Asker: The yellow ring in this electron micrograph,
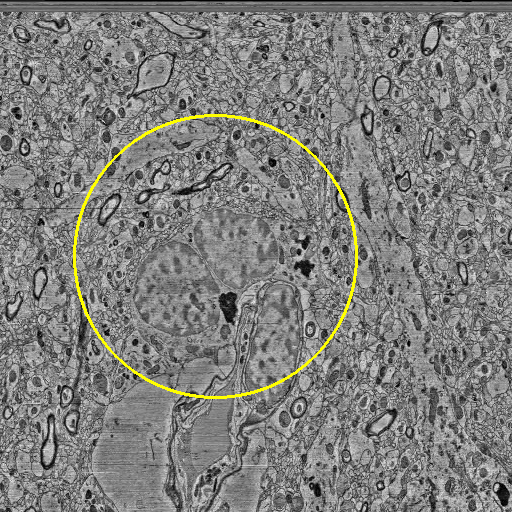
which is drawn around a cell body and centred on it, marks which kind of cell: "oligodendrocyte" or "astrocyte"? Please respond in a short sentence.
The marked cell is an oligodendrocyte.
